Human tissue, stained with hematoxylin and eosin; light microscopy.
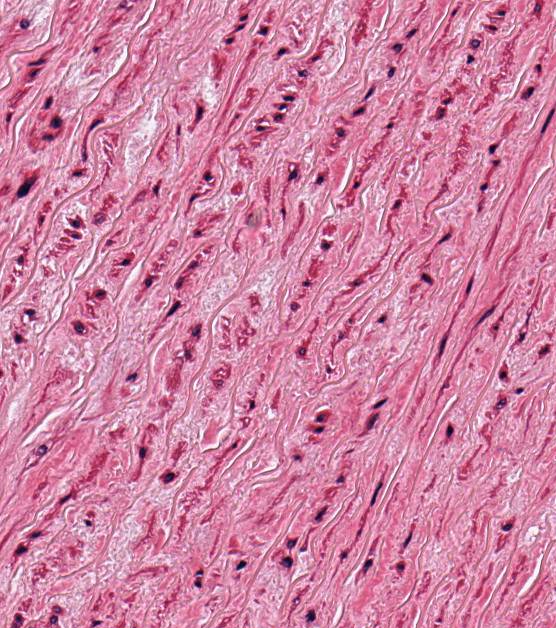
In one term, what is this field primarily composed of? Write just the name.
tunica media of an artery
